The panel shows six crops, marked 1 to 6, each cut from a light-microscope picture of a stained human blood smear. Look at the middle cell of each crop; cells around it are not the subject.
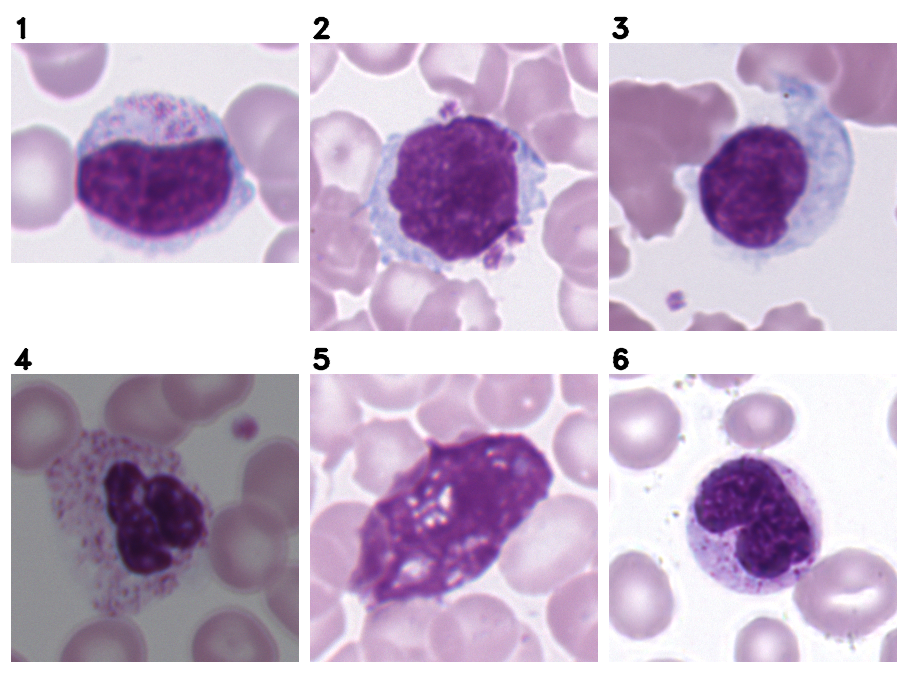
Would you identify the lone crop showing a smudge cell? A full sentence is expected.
Crop 5 represents a smudge cell, while the other crops do not.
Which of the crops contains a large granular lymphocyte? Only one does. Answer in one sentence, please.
The correct choice is crop 1, the one showing a large granular lymphocyte.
